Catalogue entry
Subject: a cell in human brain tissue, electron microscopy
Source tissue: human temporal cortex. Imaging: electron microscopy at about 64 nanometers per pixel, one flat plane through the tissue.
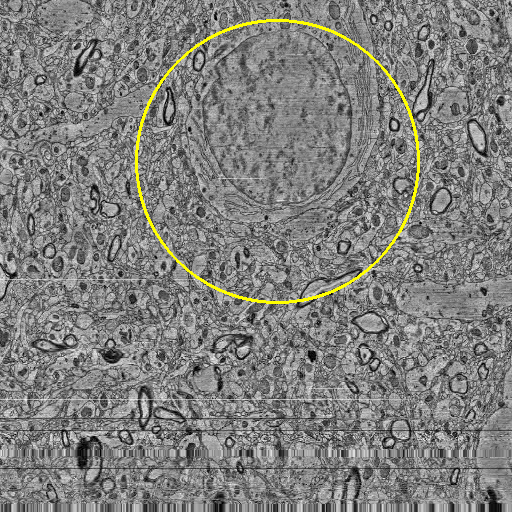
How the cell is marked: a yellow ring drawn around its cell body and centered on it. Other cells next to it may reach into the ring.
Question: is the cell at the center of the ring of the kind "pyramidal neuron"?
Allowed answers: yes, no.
no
